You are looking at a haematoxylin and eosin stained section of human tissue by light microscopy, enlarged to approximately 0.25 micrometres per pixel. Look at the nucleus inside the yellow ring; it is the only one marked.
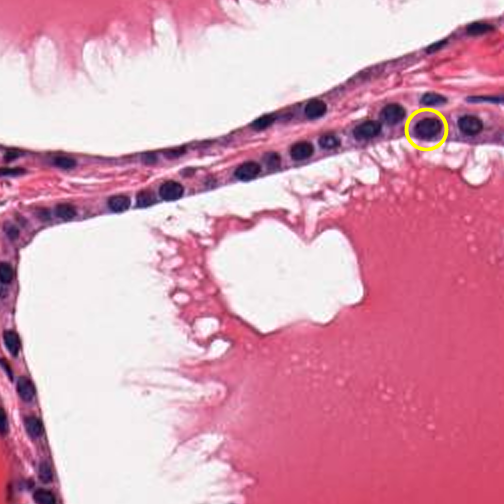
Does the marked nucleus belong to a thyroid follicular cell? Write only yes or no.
yes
